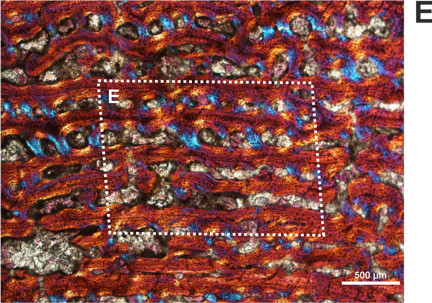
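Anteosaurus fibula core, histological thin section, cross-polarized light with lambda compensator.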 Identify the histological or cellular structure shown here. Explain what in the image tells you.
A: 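Rows of elongated canals run horizontally in parallel between bands of bone.
Answer: circumferential vascular canals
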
